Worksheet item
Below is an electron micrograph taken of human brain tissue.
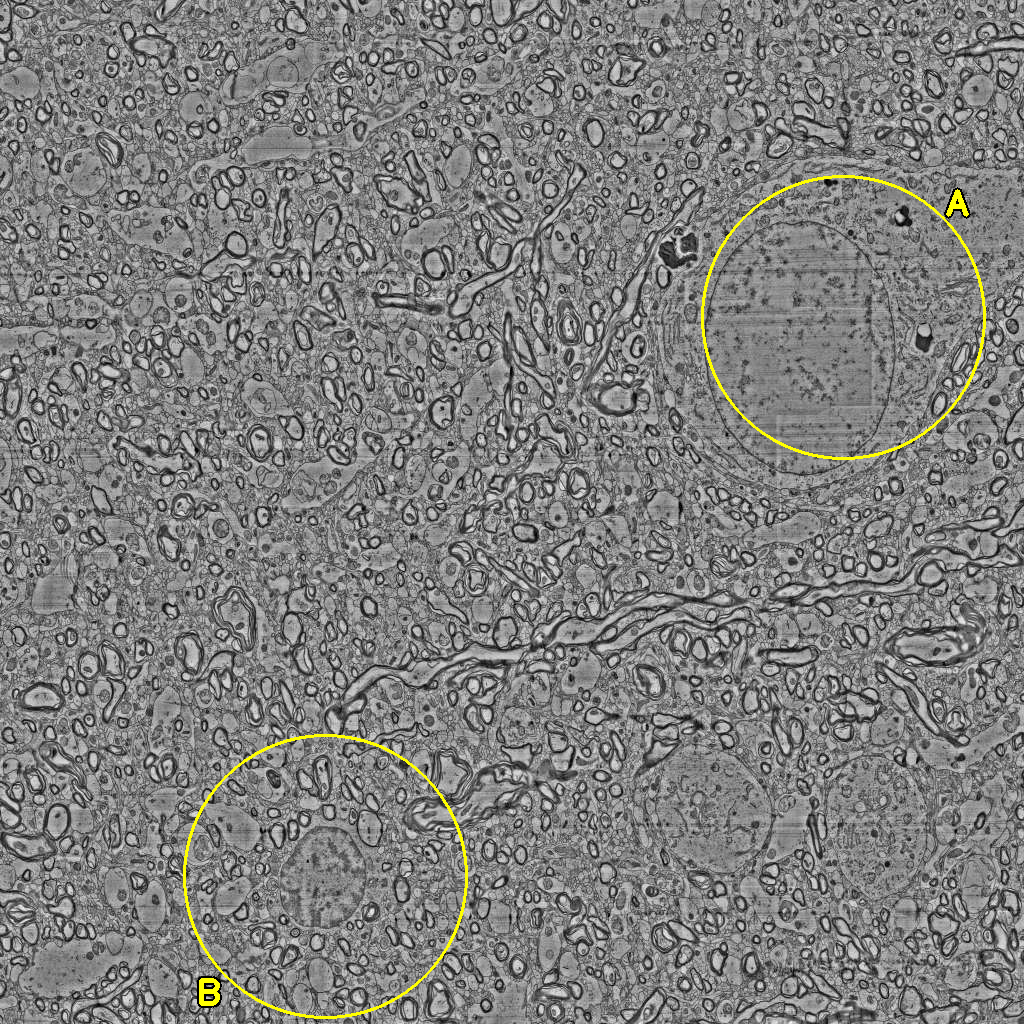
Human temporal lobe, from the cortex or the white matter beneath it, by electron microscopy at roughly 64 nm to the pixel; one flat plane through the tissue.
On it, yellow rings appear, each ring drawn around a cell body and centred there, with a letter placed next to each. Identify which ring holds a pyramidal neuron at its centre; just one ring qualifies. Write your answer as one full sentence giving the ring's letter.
Ring A has the cell asked for right at its centre in the picture.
